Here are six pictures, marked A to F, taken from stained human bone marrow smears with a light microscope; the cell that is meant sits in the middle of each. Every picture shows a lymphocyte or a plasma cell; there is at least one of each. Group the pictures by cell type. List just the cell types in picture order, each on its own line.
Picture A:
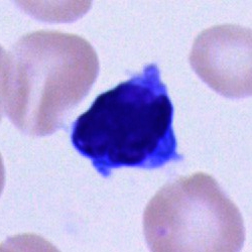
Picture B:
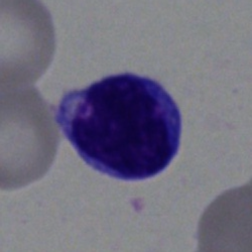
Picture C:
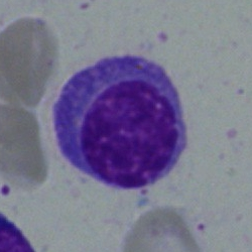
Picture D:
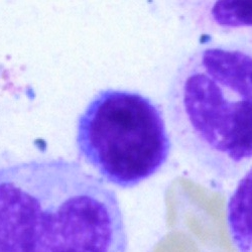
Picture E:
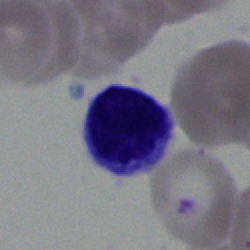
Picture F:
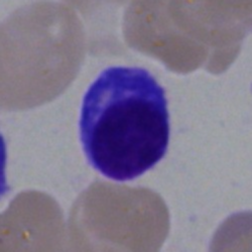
lymphocyte
lymphocyte
plasma cell
lymphocyte
lymphocyte
plasma cell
